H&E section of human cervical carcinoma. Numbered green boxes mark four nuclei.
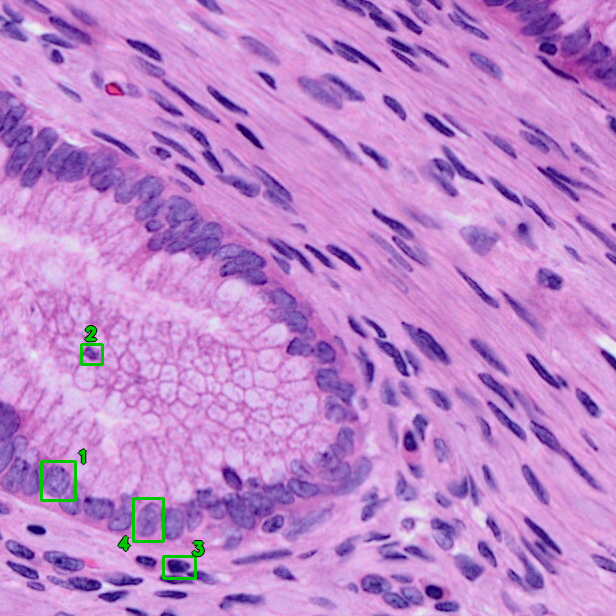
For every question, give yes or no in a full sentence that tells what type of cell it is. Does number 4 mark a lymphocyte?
No, instead of a lymphocyte, the cell with number 4 is a secretory epithelial cell.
